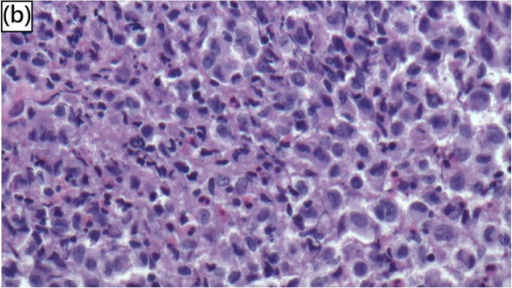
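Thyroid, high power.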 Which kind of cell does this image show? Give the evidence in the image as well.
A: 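Langerhans cells. Sheets of medium-sized cells with pale pink cytoplasm.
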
